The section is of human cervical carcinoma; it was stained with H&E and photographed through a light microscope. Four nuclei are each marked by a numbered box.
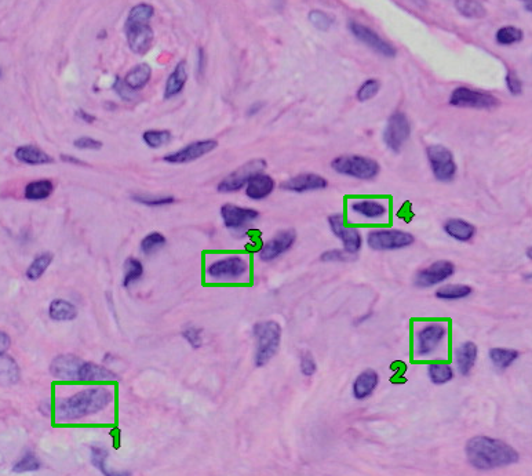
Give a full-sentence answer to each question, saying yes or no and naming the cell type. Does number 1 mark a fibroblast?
No, number 1 marks a smooth muscle cell rather than a fibroblast.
